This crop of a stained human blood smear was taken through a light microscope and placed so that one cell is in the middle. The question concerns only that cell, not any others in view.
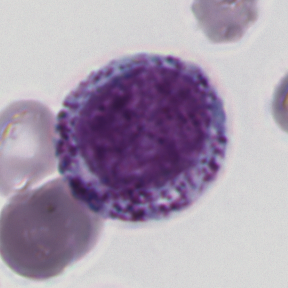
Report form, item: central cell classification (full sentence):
In this crop, the cell at the very middle is a promyelocyte.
